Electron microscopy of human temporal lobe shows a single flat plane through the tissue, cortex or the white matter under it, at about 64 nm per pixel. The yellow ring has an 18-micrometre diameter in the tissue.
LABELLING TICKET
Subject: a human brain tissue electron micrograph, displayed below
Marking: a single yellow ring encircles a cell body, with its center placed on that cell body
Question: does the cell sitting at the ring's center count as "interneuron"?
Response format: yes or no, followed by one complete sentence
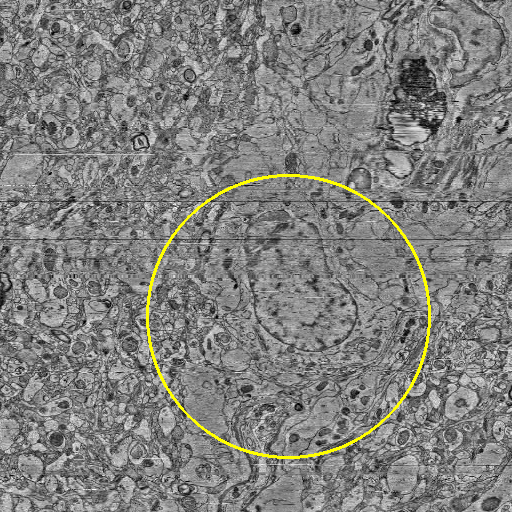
No, the cell at the center of the ring in the picture belongs to another kind.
